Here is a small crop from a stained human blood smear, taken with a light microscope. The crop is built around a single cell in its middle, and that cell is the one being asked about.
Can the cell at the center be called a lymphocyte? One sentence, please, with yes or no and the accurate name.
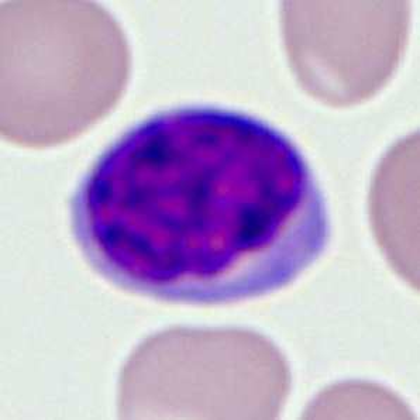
Yes, the cell occupying the middle of the crop is a lymphocyte.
